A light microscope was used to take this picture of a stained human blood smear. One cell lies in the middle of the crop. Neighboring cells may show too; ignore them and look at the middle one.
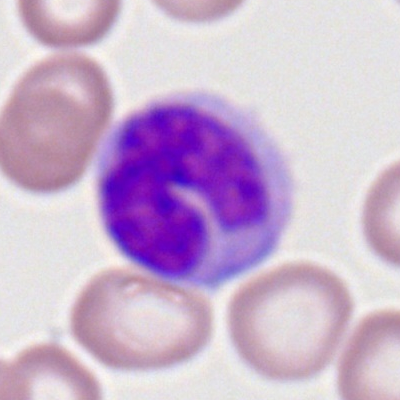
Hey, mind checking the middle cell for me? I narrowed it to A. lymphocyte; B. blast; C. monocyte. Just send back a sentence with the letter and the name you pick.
The cell in the middle is correctly identified as a monocyte in option C.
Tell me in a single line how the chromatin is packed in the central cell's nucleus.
Heads up, the chromatin in this one is coarsely clumped.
